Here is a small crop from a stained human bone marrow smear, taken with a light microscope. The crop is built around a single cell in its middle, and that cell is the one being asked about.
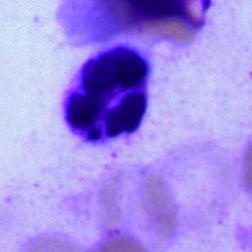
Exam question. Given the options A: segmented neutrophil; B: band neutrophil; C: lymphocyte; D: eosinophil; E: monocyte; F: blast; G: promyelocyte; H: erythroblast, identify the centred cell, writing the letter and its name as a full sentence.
The cell in the middle is a segmented neutrophil, so option A is correct.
